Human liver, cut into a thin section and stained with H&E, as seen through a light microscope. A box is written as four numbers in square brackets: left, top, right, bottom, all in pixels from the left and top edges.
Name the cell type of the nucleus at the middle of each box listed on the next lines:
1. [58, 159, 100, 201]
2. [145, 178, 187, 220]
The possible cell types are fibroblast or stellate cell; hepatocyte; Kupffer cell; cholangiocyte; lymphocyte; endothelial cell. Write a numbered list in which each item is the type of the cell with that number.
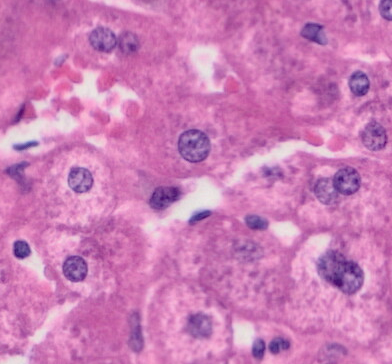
1. hepatocyte
2. Kupffer cell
